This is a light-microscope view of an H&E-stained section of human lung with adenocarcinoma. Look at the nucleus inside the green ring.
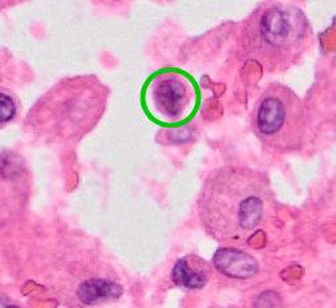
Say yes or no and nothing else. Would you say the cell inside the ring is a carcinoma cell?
no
